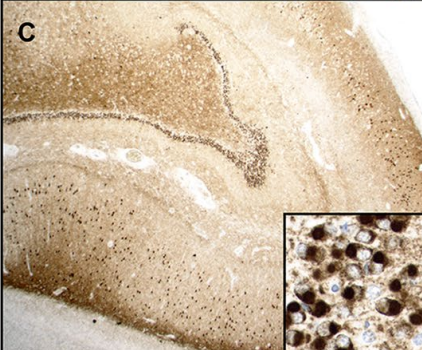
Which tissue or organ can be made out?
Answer: hippocampus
